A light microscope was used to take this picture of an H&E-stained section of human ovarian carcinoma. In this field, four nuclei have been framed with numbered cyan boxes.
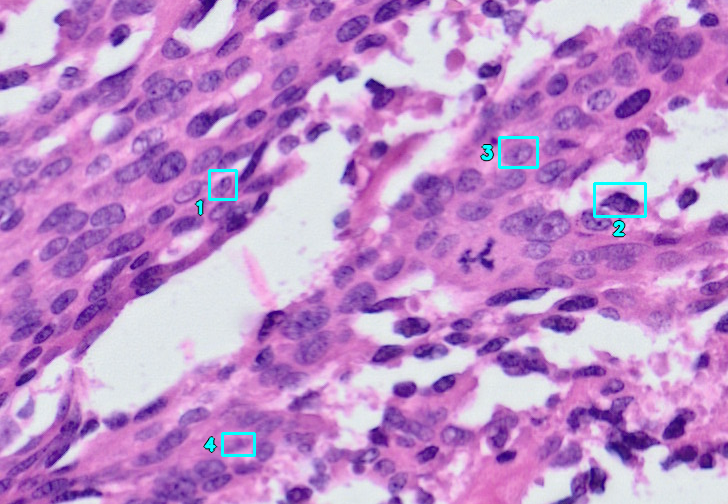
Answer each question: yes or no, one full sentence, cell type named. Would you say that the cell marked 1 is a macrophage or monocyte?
Yes, the cell that bears the number 1 is a macrophage or monocyte.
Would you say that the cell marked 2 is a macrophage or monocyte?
Yes, the cell with the mark numbered 2 is a macrophage or monocyte.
